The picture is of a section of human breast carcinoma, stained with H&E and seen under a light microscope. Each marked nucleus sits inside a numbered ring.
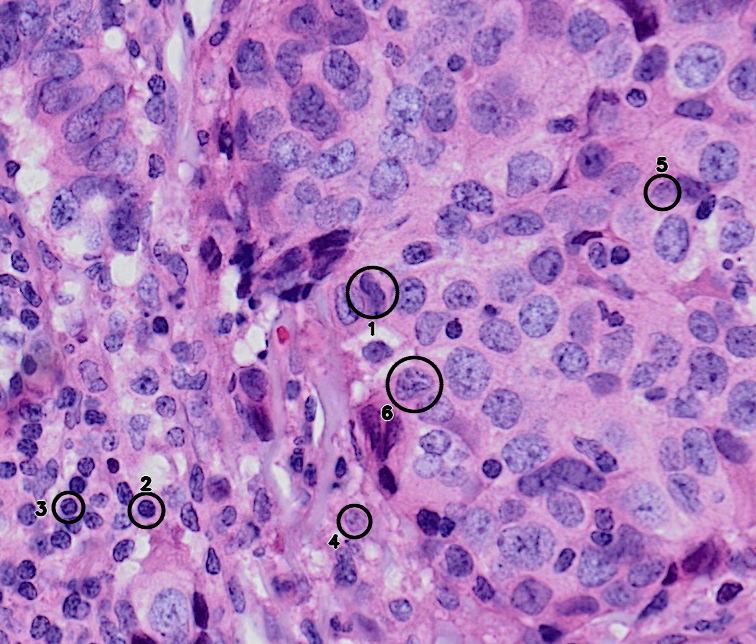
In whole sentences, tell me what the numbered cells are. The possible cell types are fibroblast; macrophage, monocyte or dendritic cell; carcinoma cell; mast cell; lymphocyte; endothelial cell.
Cell 1 is a carcinoma cell, cell 2 is a lymphocyte, cell 3 is a lymphocyte, cell 4 is a macrophage, monocyte or dendritic cell, cell 5 is a carcinoma cell and cell 6 is a carcinoma cell.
